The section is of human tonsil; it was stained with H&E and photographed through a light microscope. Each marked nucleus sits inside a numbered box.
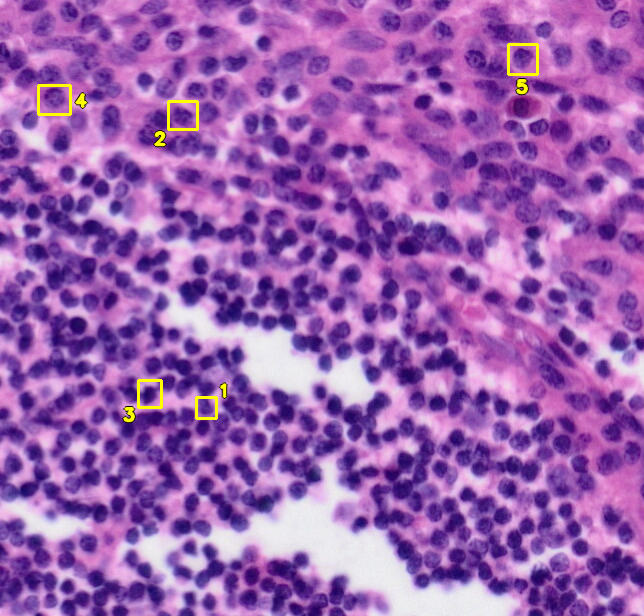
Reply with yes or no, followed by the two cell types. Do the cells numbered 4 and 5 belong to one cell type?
Yes, cells 4 and 5 are alike in being plasma cells.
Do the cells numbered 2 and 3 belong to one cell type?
No, cell 2 here is a plasma cell and cell 3 here is a small lymphocyte.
